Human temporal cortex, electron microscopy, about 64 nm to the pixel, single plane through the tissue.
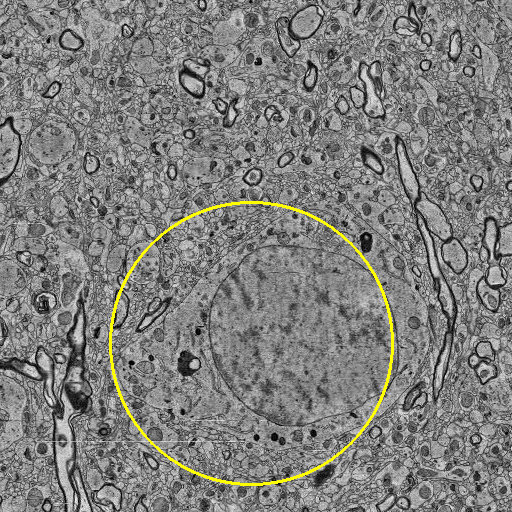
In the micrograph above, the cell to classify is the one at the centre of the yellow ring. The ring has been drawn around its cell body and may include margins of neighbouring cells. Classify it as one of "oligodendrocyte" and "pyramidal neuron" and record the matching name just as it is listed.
pyramidal neuron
